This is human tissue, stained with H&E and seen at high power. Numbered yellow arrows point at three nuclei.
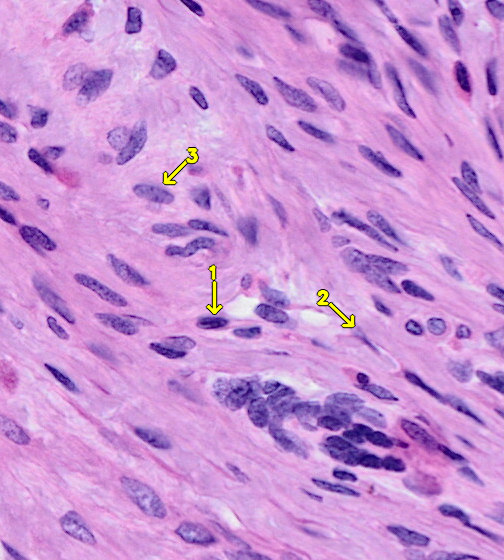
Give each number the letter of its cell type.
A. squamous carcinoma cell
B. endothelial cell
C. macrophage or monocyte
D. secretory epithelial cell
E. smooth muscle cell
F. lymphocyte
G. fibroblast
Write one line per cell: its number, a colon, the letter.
1: F
2: G
3: G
